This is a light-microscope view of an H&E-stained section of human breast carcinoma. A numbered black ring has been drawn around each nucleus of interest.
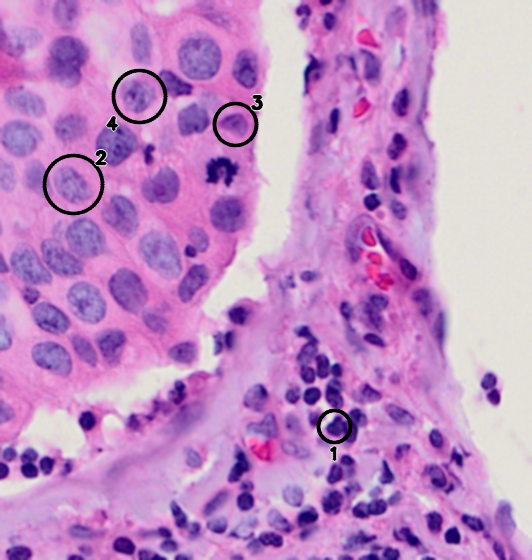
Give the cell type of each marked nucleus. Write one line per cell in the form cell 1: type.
cell 1: lymphocyte
cell 2: carcinoma cell
cell 3: carcinoma cell
cell 4: carcinoma cell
